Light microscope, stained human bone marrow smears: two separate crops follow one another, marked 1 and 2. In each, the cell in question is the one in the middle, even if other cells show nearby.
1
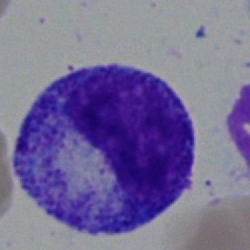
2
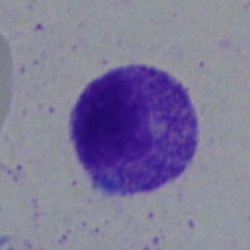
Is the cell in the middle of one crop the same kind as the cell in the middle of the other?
yes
